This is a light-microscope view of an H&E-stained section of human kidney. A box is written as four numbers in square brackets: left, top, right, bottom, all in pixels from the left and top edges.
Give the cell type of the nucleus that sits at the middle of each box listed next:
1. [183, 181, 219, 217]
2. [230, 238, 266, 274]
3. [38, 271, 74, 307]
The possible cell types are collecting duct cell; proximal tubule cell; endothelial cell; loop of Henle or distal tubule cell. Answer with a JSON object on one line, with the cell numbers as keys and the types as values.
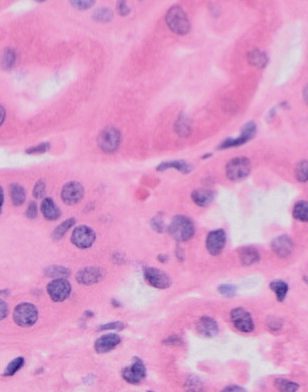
{"1": "loop of Henle or distal tubule cell", "2": "loop of Henle or distal tubule cell", "3": "collecting duct cell"}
